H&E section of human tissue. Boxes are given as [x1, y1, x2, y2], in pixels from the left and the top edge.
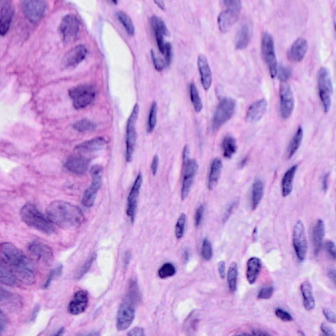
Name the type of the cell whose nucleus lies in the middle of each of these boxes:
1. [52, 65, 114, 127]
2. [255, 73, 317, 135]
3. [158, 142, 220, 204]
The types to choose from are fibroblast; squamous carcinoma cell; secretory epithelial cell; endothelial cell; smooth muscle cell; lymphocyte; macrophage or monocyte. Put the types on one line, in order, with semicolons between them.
secretory epithelial cell; fibroblast; fibroblast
